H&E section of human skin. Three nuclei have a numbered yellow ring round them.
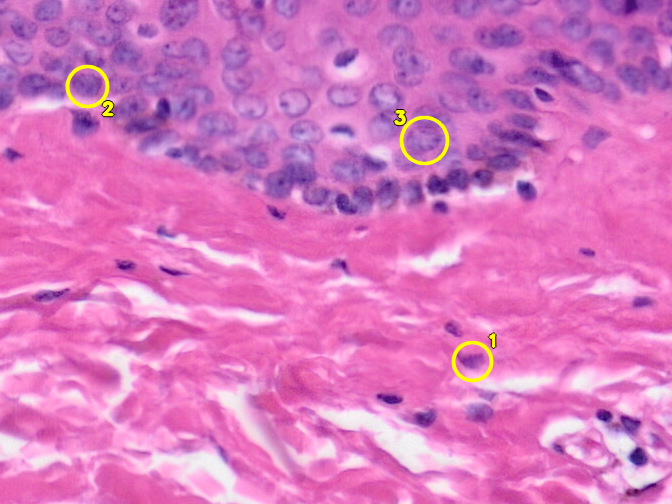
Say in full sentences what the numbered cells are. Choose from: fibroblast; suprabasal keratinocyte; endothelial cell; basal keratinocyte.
Cell 1 is a fibroblast. Cell 2 is a basal keratinocyte. Cell 3 is a suprabasal keratinocyte.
